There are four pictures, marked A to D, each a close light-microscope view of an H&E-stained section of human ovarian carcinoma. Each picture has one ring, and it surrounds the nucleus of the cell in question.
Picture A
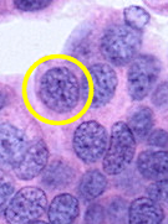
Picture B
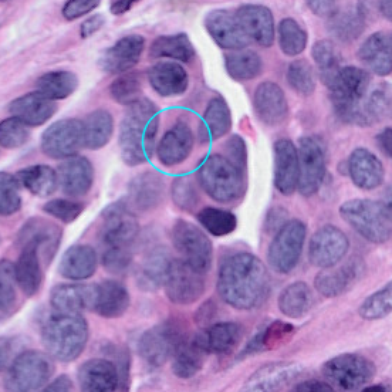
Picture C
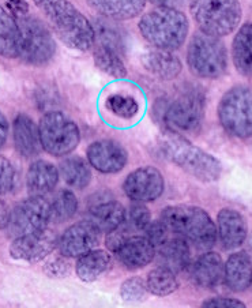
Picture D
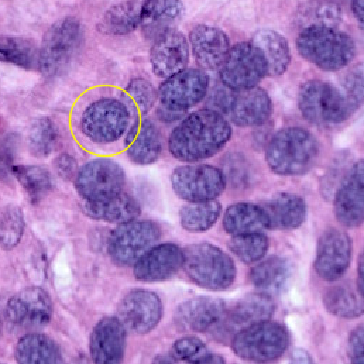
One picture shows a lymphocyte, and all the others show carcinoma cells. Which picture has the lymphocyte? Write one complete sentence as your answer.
The cell in picture C is the lymphocyte.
